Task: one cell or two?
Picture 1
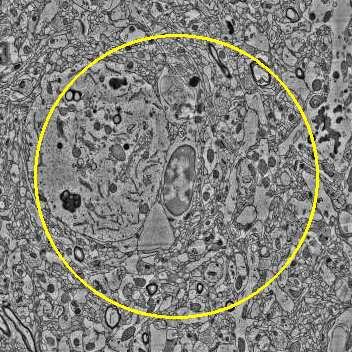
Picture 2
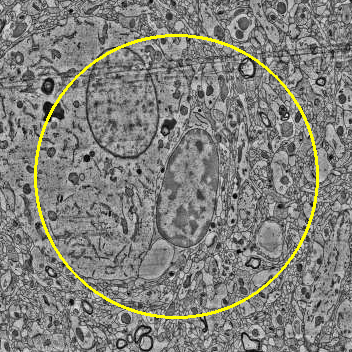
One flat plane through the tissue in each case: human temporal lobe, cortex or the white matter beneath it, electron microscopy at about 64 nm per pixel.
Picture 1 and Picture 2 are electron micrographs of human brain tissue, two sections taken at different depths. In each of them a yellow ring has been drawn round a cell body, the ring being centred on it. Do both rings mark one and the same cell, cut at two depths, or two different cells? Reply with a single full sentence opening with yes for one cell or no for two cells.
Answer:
Yes, one cell accounts for both of the yellow rings.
